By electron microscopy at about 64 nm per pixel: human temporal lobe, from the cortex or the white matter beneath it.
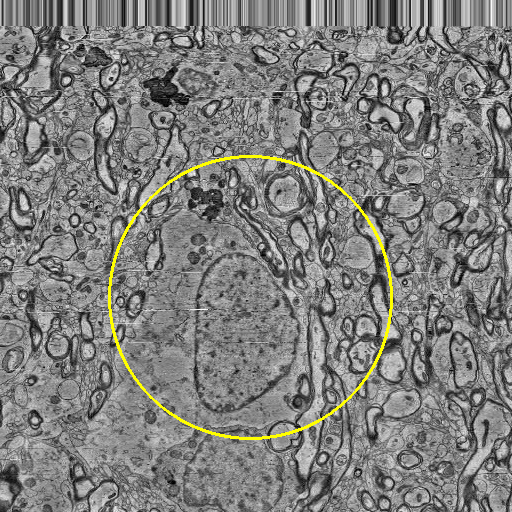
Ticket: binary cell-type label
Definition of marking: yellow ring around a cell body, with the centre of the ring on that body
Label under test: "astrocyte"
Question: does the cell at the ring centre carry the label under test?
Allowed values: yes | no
yes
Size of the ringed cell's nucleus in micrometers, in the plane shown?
About 10 by 7 micrometres, the nucleus being clearly longer than it is wide in this plane.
